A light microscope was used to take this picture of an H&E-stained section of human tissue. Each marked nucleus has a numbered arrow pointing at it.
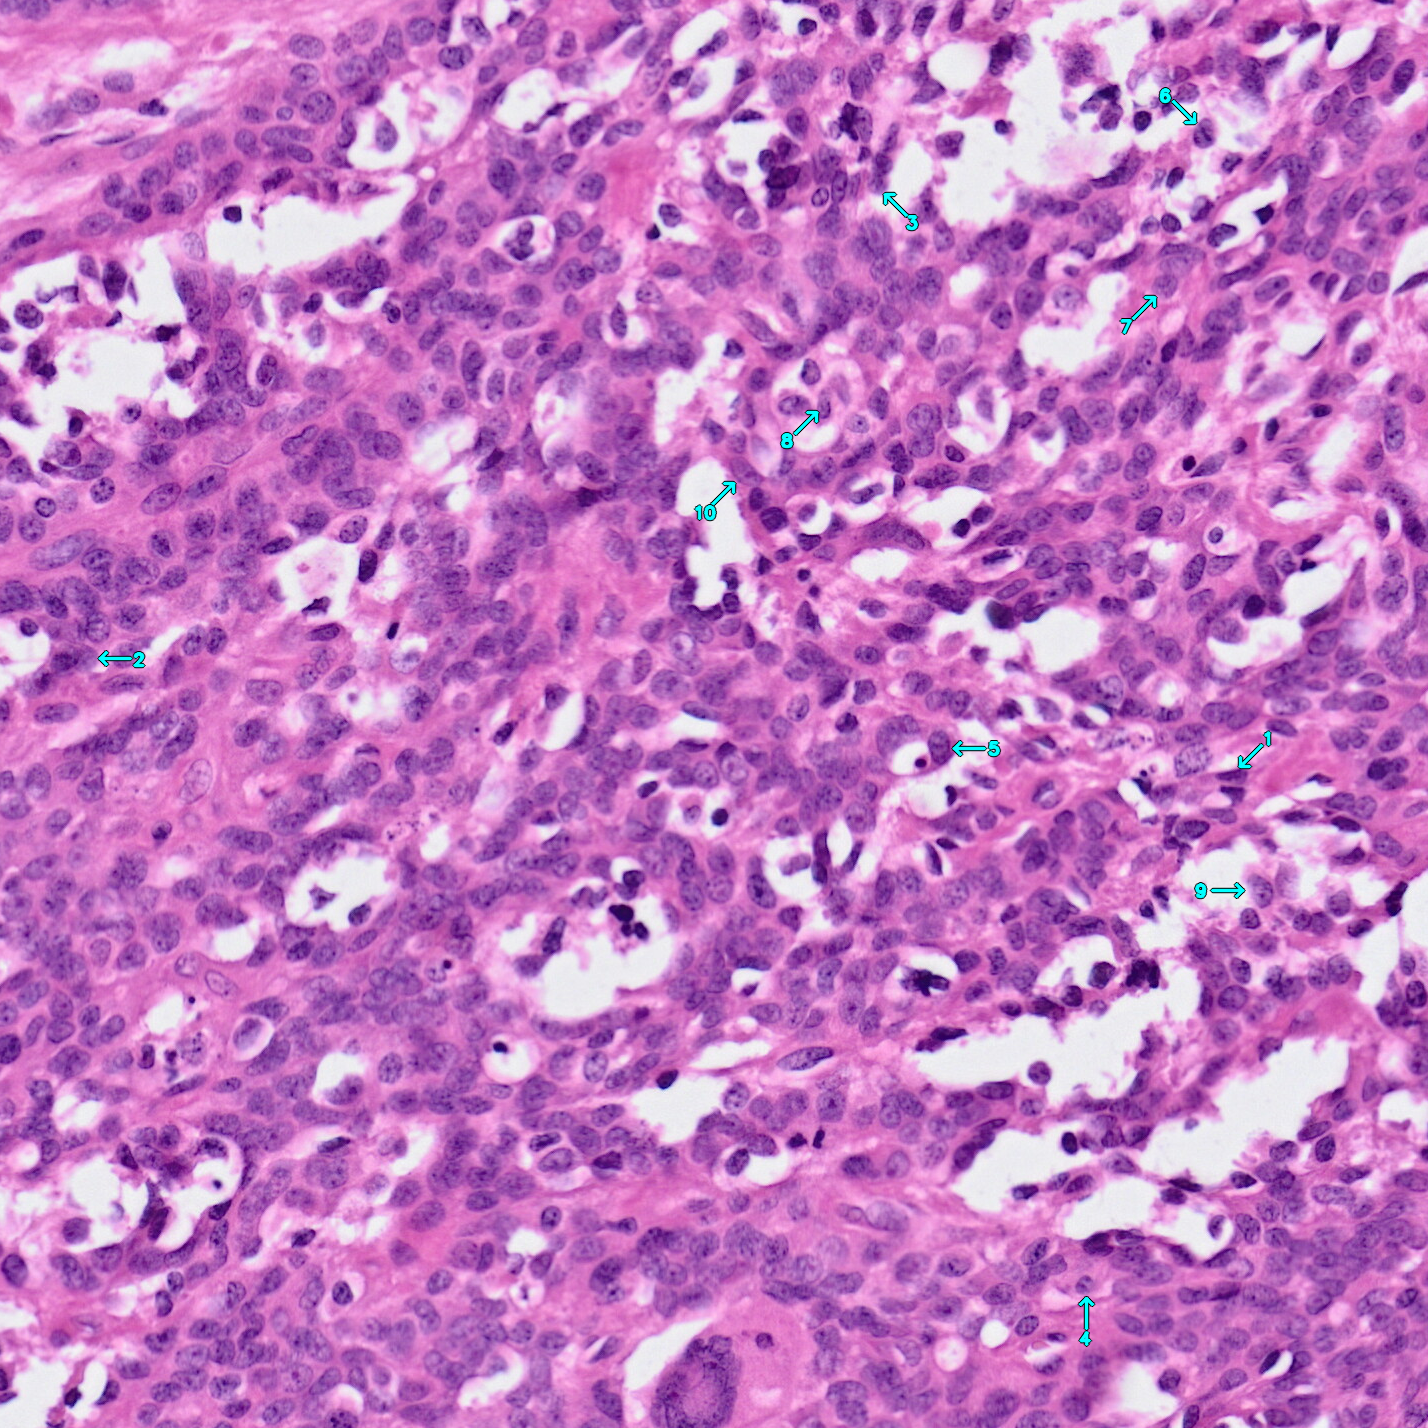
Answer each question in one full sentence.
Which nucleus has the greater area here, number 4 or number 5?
The larger nucleus is 5, at roughly 2 times the area of 4.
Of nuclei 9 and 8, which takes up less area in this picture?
With nucleus 9 about 1.5 times its size, nucleus 8 is the smaller of the two.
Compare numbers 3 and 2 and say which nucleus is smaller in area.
Nucleus 3 covers less area, with nucleus 2 about 1.5 times as large.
